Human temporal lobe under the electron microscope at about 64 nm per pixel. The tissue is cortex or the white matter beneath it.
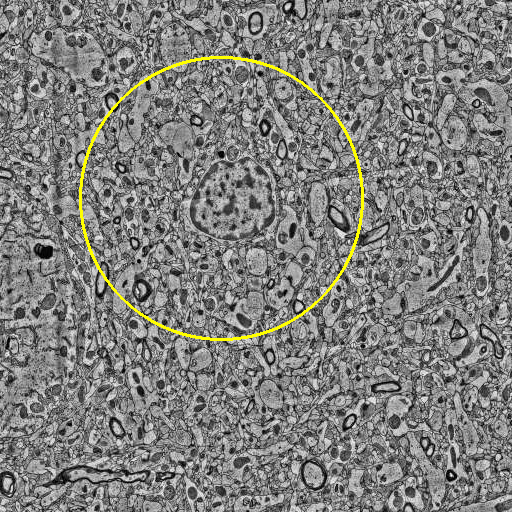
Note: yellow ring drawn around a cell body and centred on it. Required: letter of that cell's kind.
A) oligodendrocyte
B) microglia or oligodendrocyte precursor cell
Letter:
B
